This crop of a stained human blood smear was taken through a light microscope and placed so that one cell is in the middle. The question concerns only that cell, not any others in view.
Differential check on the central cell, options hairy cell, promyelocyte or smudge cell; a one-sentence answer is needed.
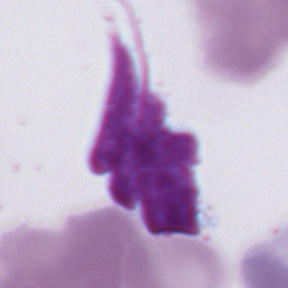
The cell at the centre of the field is a smudge cell.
